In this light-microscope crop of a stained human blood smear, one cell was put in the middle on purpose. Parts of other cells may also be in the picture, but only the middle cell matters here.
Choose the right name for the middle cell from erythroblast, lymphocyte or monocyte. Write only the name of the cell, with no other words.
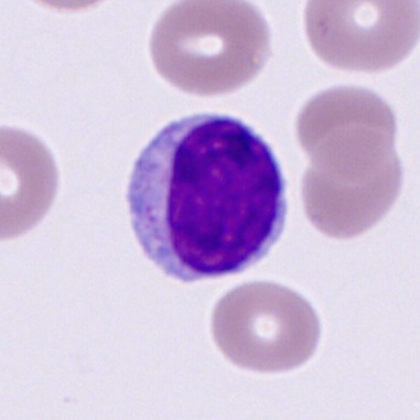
lymphocyte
